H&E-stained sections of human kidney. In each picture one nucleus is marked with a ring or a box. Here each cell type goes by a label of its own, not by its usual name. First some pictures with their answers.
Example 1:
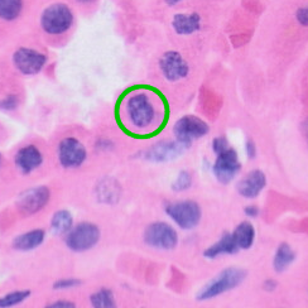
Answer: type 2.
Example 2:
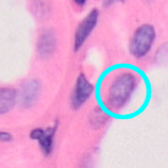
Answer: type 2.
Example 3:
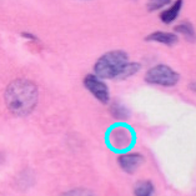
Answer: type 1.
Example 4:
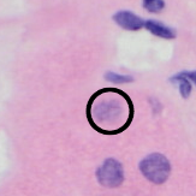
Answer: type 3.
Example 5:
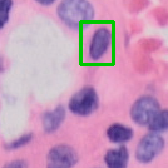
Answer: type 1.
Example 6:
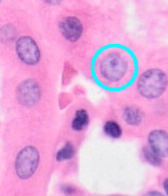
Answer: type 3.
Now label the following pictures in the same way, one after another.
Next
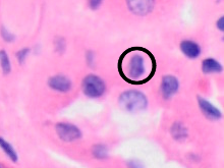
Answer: type 2.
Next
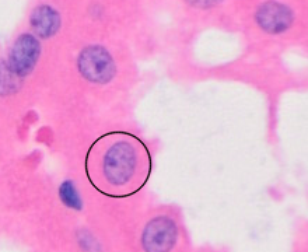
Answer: type 3.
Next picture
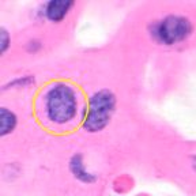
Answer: type 1.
